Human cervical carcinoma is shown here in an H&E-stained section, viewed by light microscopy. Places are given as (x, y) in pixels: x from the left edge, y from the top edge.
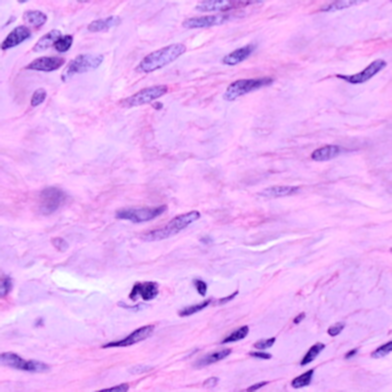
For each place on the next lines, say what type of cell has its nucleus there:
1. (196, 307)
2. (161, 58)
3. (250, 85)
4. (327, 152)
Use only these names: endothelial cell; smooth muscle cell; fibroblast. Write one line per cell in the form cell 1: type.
cell 1: fibroblast
cell 2: smooth muscle cell
cell 3: fibroblast
cell 4: fibroblast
